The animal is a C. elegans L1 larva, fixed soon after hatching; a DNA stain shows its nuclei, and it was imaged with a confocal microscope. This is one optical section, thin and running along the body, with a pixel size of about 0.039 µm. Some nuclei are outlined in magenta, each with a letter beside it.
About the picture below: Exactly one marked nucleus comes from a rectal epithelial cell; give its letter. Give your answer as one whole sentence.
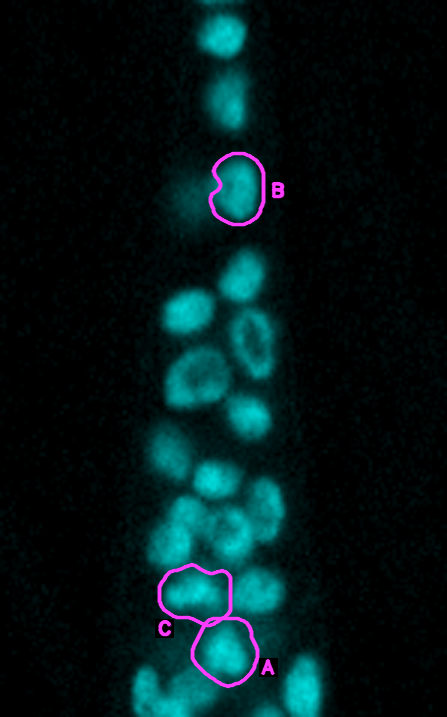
The one from a rectal epithelial cell is A.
